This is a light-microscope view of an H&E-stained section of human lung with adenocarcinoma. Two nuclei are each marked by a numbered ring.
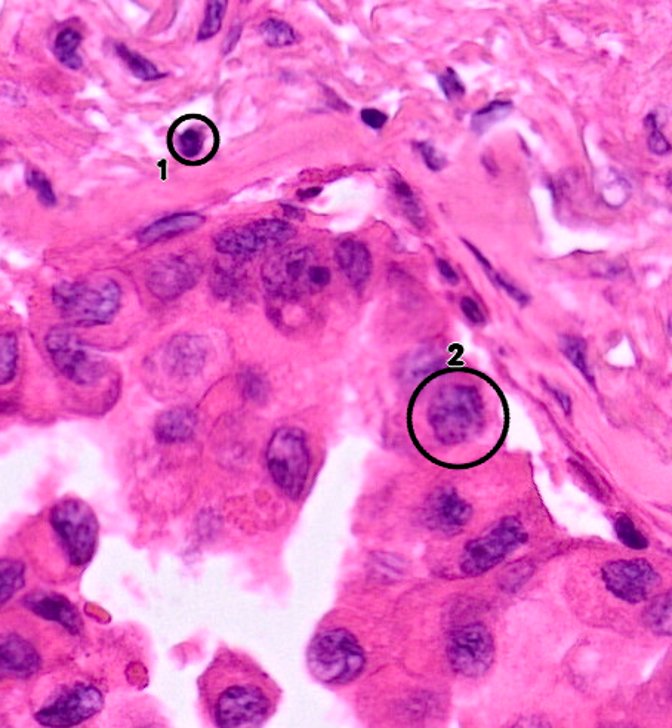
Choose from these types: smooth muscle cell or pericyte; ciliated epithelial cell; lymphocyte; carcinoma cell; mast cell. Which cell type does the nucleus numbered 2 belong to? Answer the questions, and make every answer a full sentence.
Heads up, the cell numbered 2 is a carcinoma cell.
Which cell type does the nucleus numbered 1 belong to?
In this section, number 1 marks a lymphocyte.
